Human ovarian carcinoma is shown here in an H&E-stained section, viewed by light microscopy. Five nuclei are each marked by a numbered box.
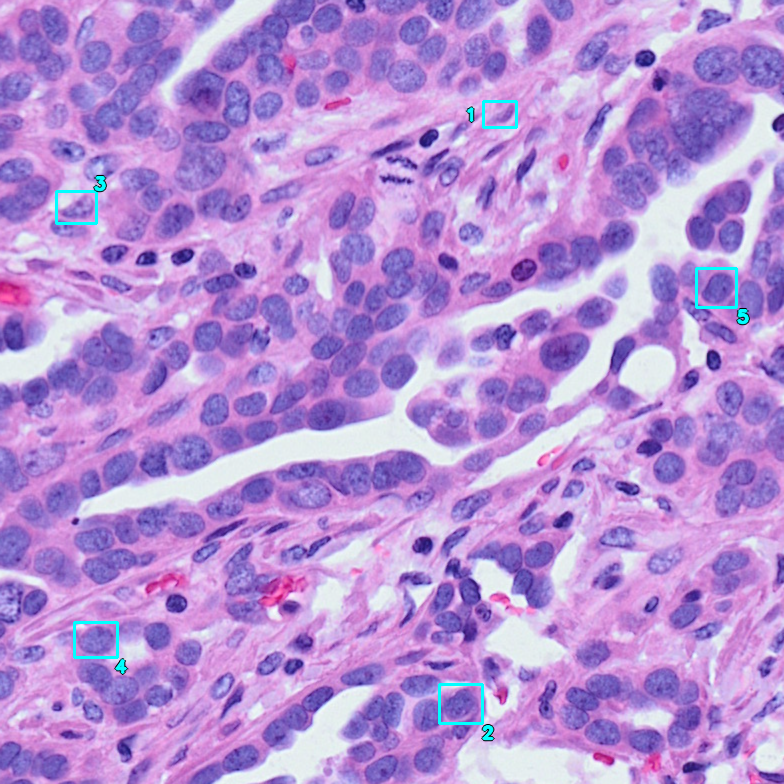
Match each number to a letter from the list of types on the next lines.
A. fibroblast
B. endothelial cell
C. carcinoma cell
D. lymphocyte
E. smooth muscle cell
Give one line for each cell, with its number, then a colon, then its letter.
1: A
2: C
3: A
4: C
5: C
